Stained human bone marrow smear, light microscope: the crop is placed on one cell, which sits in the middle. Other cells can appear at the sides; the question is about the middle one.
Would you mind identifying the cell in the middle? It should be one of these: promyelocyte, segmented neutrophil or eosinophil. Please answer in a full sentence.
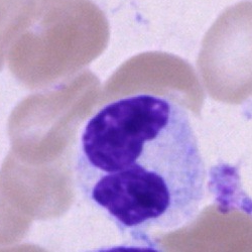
Framed in the middle of the crop is a segmented neutrophil.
